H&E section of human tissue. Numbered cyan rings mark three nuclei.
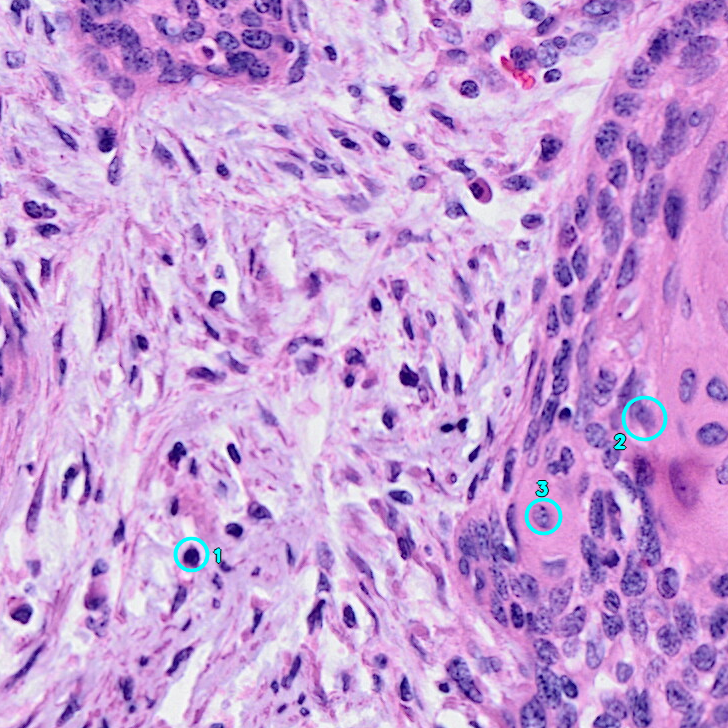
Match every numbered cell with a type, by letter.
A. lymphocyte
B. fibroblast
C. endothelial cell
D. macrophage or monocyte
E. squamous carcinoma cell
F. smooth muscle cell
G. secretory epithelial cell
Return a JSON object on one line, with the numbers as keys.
{"1": "A", "2": "E", "3": "E"}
